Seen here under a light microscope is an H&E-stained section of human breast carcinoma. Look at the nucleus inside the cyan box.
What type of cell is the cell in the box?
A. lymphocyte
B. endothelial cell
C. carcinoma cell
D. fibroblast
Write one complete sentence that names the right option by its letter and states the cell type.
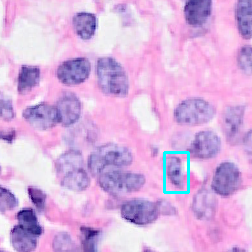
Option B properly identifies the cell in the box as an endothelial cell.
